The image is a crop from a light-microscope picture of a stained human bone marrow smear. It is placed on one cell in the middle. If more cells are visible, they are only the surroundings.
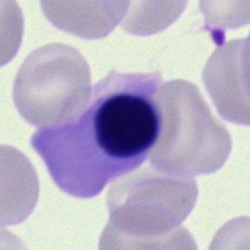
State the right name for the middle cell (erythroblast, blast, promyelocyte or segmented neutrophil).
erythroblast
